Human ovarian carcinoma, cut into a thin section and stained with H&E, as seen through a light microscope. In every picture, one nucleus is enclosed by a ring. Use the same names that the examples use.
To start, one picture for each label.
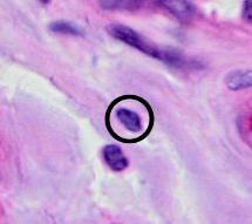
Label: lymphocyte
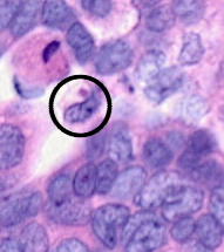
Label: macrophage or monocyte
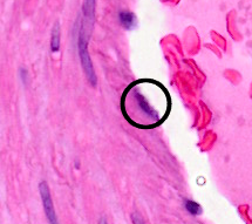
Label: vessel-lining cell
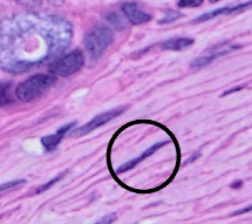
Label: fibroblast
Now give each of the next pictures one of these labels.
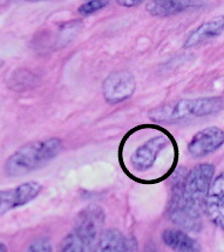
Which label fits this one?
macrophage or monocyte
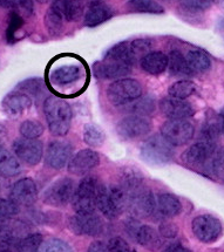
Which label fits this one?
macrophage or monocyte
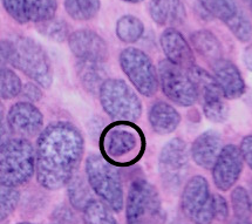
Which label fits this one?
macrophage or monocyte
